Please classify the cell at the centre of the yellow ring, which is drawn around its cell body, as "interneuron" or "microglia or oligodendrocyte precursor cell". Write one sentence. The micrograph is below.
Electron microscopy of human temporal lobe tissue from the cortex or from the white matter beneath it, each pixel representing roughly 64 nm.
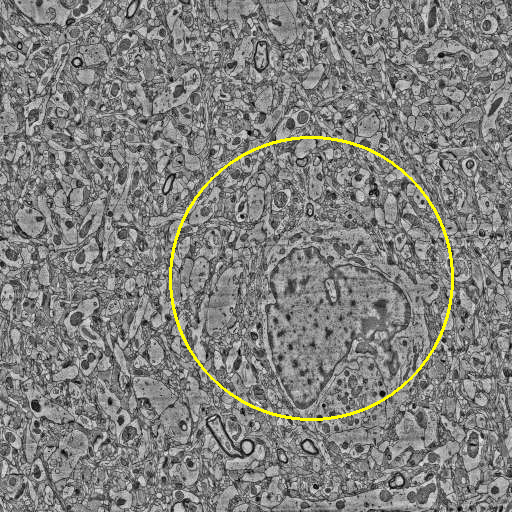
The cell at the ring's centre is classified as a microglial cell or oligodendrocyte precursor cell.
